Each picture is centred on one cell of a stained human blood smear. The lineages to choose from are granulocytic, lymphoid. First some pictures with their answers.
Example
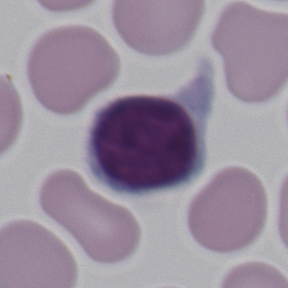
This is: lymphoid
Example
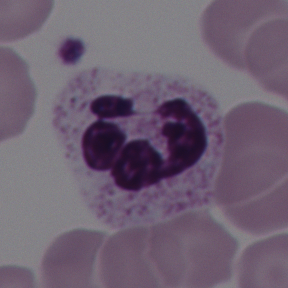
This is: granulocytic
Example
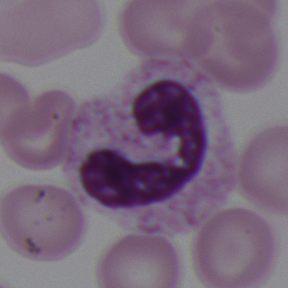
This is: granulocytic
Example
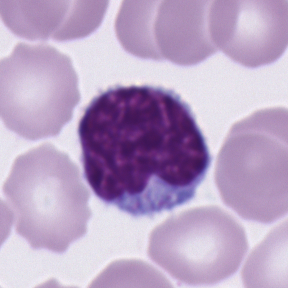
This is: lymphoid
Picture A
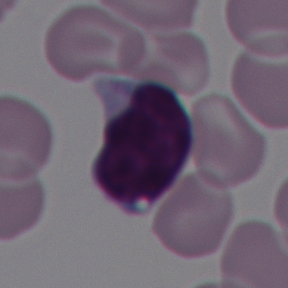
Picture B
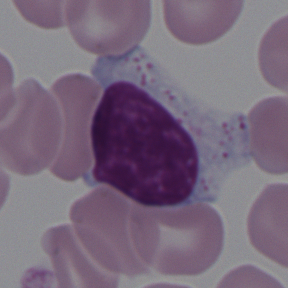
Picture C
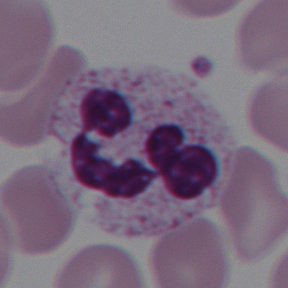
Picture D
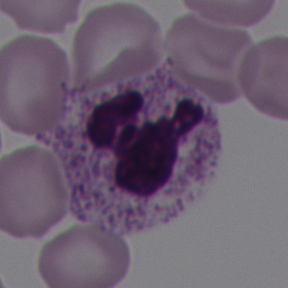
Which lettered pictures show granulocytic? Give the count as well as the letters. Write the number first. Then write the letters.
2, namely C, D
